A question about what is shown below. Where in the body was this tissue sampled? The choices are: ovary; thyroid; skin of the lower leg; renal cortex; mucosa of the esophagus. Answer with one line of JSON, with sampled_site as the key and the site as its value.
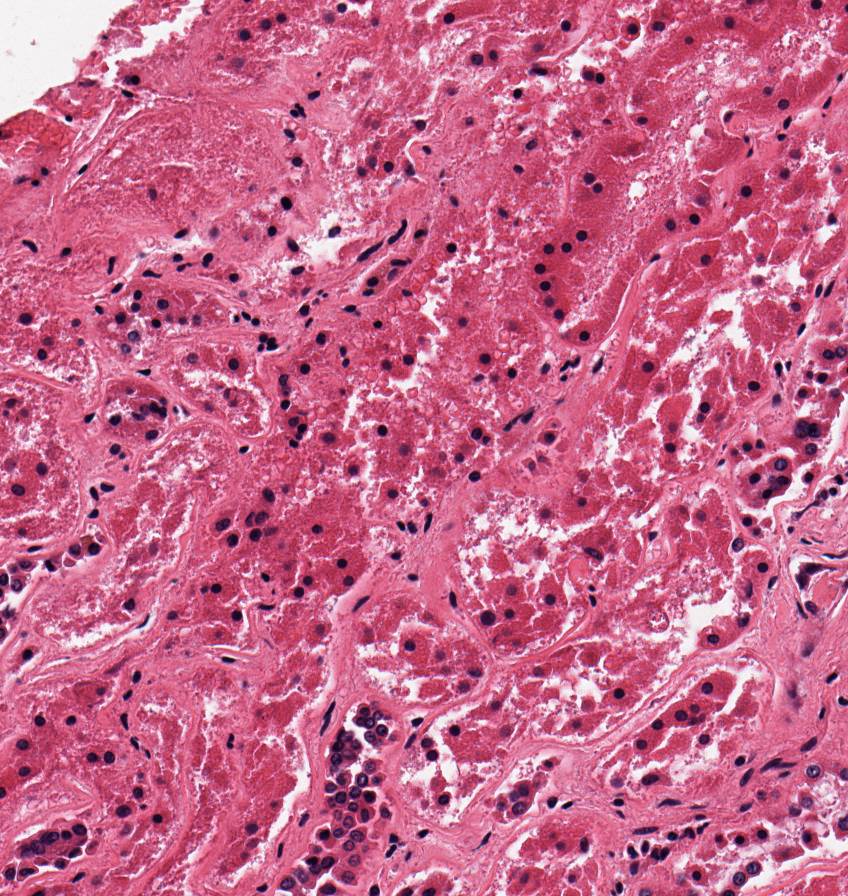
{"sampled_site": "renal cortex"}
